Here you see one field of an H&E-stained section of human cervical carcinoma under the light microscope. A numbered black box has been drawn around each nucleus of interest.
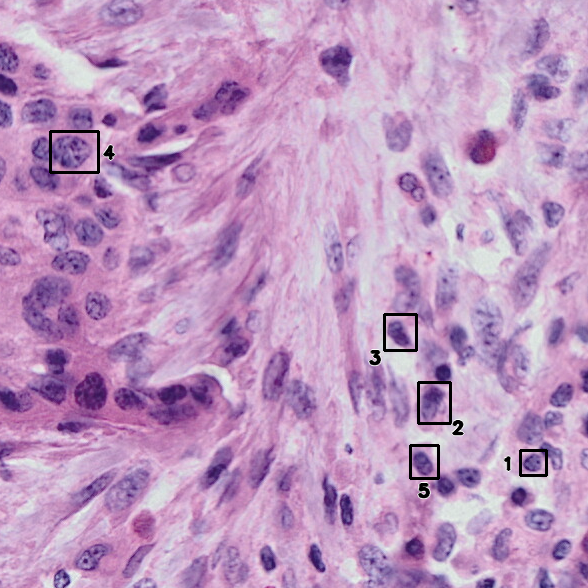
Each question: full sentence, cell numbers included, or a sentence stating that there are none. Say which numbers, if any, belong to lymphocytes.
The cells numbered 1, 3 and 5 are identified as lymphocytes.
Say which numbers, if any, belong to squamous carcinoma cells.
Mind that only cell 4 is a squamous carcinoma cell, none of the rest.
